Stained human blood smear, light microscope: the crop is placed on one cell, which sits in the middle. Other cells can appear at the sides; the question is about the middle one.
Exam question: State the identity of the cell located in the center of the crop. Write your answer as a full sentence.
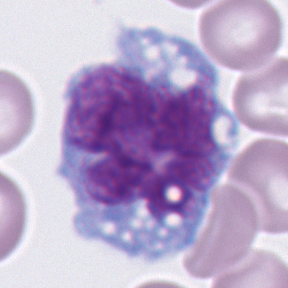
To answer, the cell in the center of the crop is a monocyte.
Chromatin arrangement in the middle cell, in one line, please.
The chromatin pattern is fine and free of coarse clumps.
